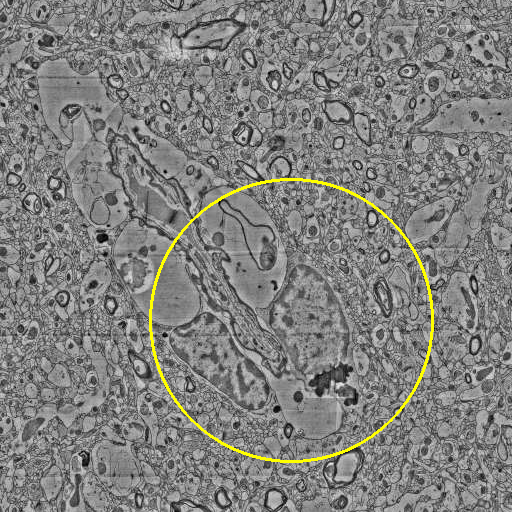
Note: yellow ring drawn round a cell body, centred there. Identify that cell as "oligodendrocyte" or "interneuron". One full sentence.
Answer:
The cell in the middle of the ring is an oligodendrocyte.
